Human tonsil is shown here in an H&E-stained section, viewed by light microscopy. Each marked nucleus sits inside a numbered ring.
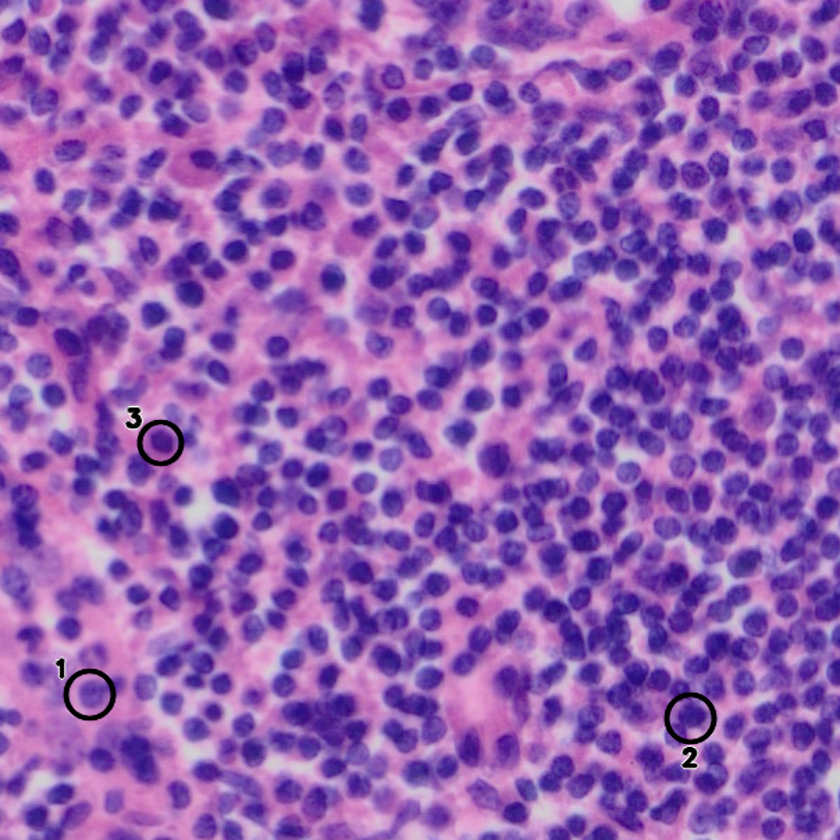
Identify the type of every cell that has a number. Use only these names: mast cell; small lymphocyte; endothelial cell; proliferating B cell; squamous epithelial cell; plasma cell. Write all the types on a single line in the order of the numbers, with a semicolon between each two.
endothelial cell; small lymphocyte; plasma cell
